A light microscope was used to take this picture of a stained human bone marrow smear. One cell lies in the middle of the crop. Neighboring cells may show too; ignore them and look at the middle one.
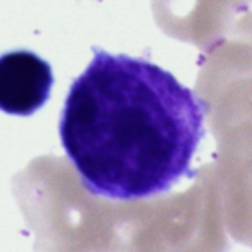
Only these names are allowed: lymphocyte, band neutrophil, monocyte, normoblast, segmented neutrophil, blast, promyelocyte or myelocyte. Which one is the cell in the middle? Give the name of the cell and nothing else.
myelocyte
